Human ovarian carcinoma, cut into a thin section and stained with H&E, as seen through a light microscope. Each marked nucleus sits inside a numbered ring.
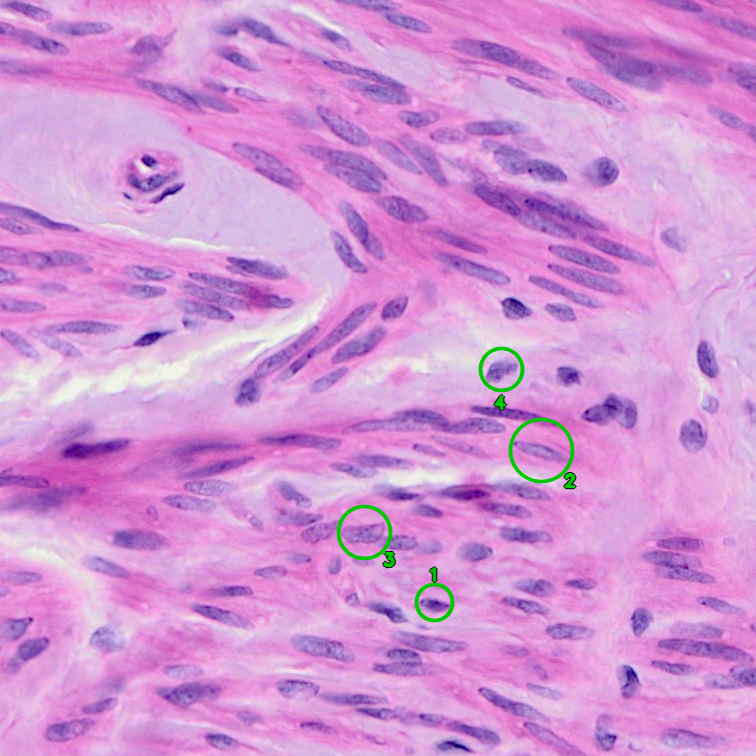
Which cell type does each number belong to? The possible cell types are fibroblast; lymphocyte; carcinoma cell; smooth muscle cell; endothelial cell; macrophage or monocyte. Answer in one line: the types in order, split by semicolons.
smooth muscle cell; smooth muscle cell; smooth muscle cell; fibroblast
